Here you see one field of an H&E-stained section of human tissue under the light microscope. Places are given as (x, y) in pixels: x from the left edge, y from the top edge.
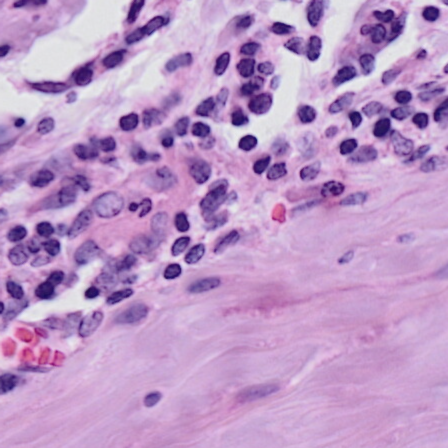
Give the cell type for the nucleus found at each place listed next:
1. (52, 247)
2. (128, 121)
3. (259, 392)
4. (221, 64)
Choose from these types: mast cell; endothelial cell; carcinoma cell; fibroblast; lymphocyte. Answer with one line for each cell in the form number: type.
1: lymphocyte
2: lymphocyte
3: fibroblast
4: lymphocyte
